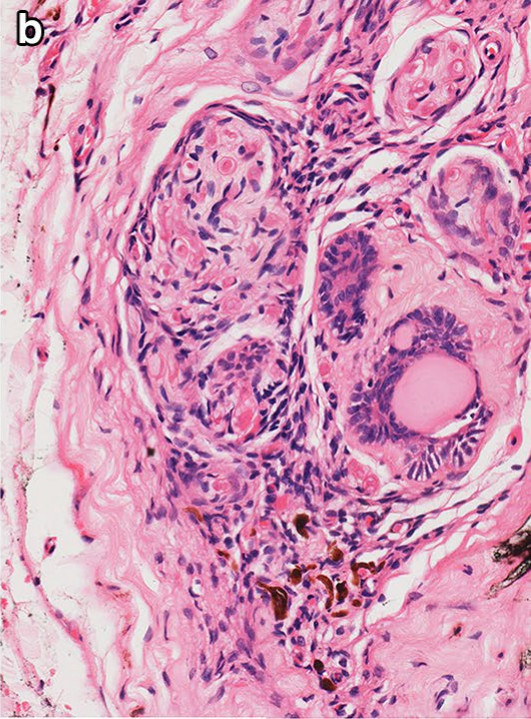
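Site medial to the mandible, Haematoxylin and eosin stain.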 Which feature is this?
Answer: Bland squamoid islands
